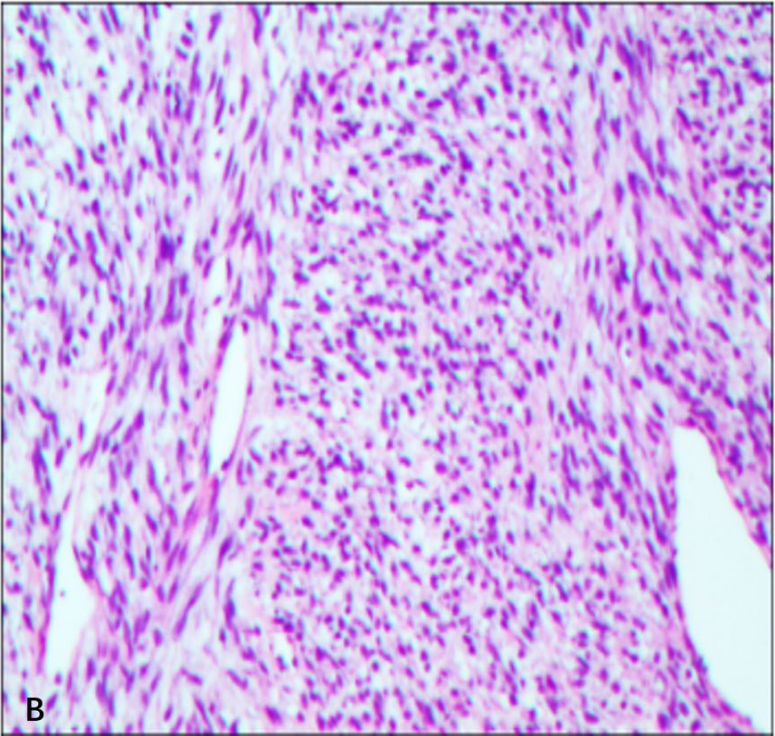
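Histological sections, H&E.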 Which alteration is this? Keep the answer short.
Monotonous spindle cell proliferation.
